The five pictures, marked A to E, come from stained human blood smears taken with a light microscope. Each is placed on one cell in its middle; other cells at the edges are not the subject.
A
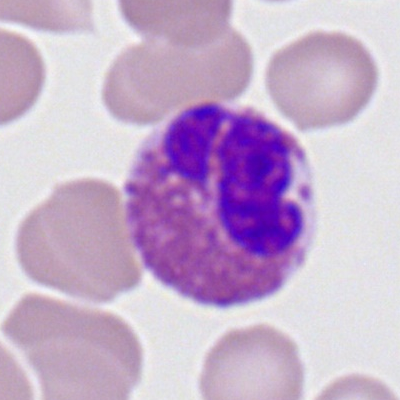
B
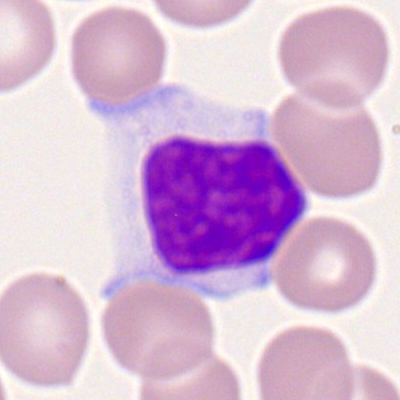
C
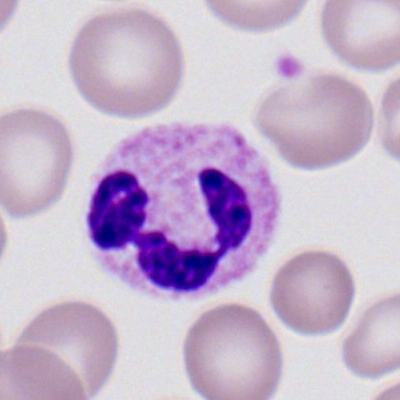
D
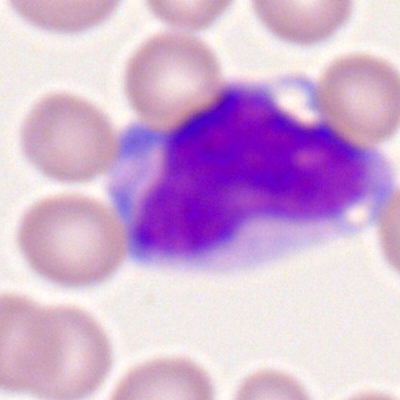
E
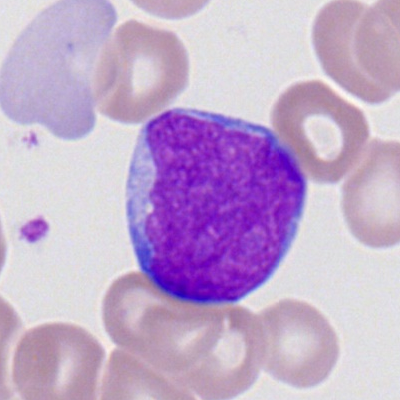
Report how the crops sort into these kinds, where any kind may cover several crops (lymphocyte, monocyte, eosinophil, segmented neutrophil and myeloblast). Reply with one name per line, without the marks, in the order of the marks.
eosinophil
lymphocyte
segmented neutrophil
myeloblast
myeloblast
